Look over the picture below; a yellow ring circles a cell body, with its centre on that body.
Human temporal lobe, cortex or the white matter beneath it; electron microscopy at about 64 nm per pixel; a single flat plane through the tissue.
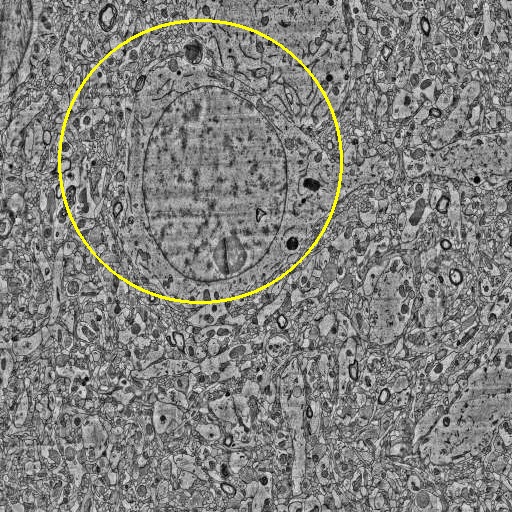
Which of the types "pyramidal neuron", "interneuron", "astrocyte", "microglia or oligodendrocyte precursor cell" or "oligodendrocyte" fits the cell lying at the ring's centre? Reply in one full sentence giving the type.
The picture shows a pyramidal neuron at the centre of the yellow ring.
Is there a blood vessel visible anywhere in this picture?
No, there is no blood vessel in the image.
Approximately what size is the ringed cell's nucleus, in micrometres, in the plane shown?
The nucleus of the ringed cell is approximately 13 by 10 micrometres in this plane.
